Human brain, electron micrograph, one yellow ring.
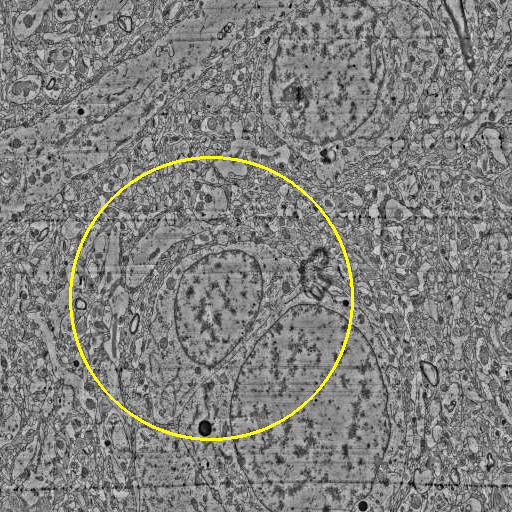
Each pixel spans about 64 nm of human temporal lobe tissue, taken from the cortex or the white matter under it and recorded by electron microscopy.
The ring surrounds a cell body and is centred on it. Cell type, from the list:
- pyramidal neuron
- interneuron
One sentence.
The yellow ring circles a pyramidal neuron.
